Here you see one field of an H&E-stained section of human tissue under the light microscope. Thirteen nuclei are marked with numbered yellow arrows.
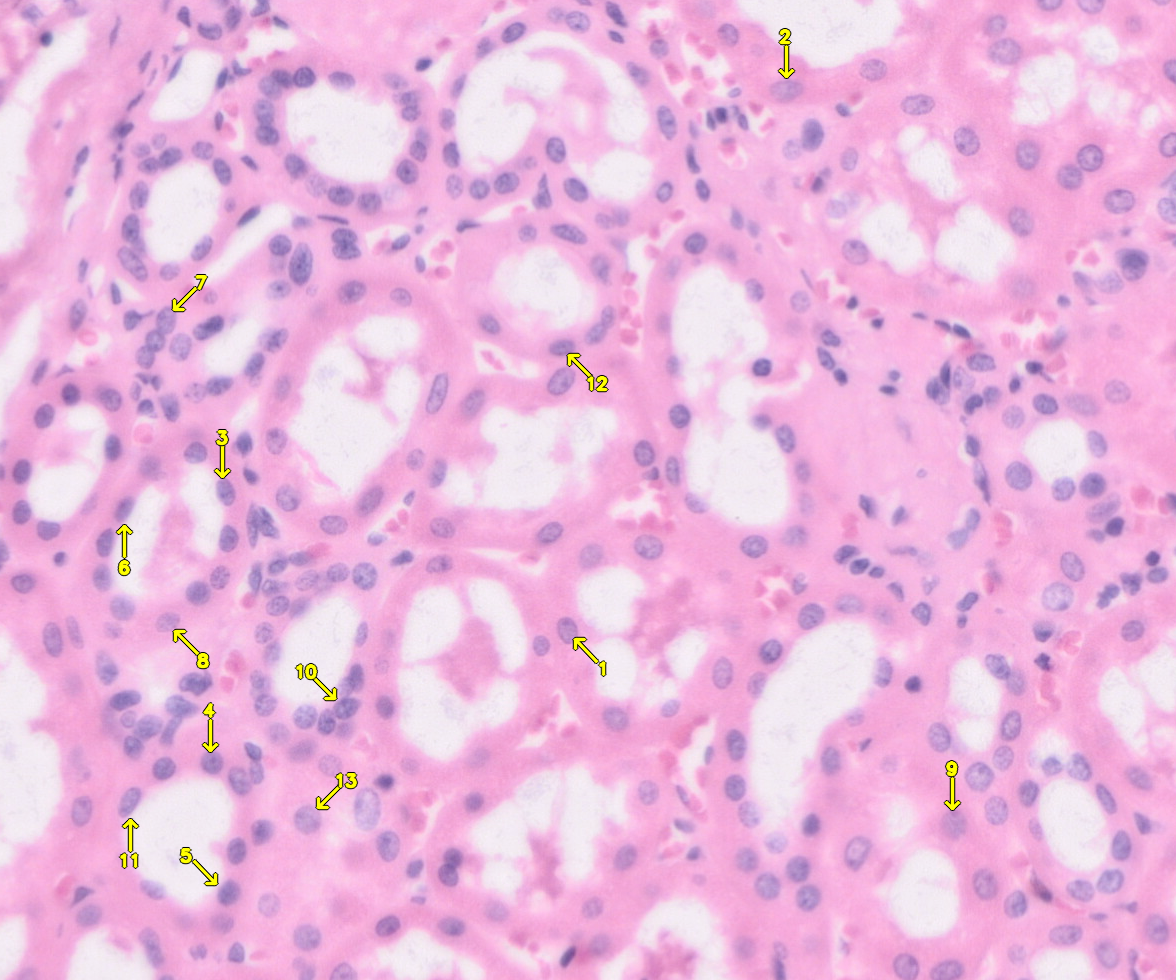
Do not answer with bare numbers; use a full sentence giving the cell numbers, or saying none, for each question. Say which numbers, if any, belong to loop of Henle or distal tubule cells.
Classified as loop of Henle or distal tubule cells are the cells numbered 3, 4, 5, 6, 8 and 11.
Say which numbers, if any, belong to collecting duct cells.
Each of the cells numbered 7, 10 and 12 is among the collecting duct cells.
